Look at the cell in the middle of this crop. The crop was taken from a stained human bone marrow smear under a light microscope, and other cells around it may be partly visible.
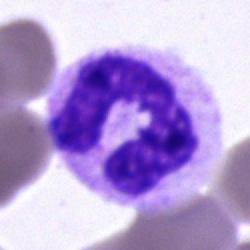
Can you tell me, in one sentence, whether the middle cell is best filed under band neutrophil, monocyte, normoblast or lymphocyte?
The single cell at the center of the crop is a band neutrophil.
